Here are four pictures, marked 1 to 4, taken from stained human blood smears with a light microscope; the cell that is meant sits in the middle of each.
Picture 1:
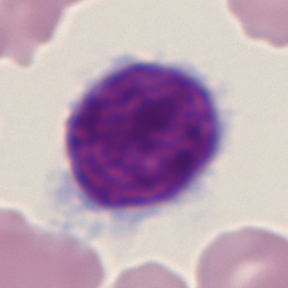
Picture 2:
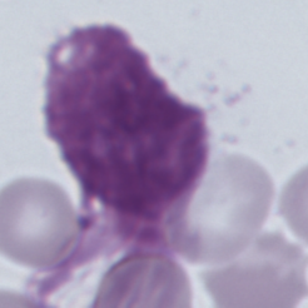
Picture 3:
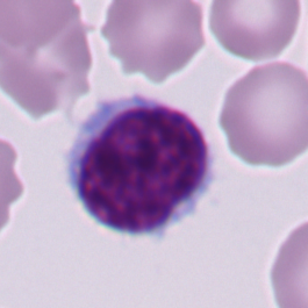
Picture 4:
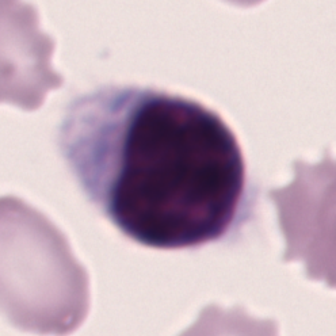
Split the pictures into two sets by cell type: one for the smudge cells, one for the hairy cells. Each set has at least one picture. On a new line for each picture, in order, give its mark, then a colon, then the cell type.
1: hairy cell
2: smudge cell
3: hairy cell
4: hairy cell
